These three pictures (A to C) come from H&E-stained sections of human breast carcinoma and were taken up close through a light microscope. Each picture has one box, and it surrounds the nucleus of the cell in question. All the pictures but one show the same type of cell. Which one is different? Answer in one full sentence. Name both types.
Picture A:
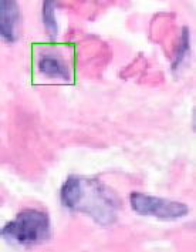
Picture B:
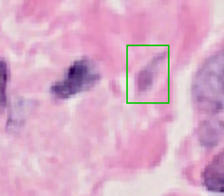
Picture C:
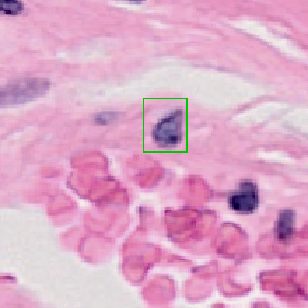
The different one is picture B; it shows a fibroblast, whereas all the others show endothelial cells.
